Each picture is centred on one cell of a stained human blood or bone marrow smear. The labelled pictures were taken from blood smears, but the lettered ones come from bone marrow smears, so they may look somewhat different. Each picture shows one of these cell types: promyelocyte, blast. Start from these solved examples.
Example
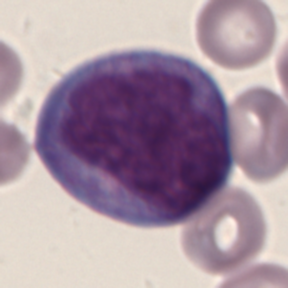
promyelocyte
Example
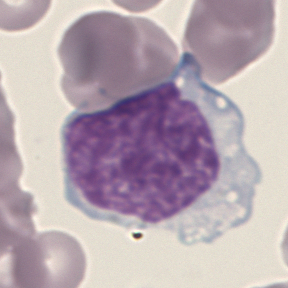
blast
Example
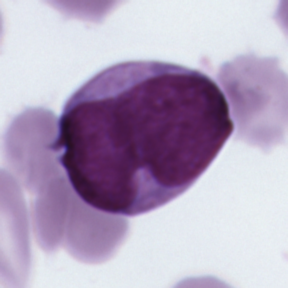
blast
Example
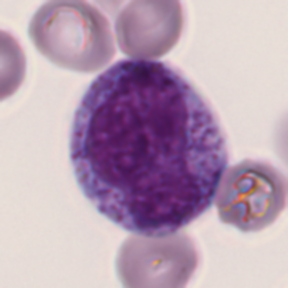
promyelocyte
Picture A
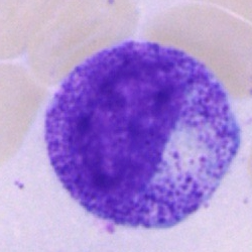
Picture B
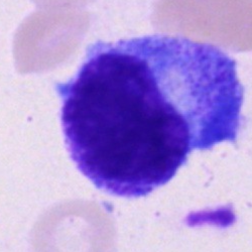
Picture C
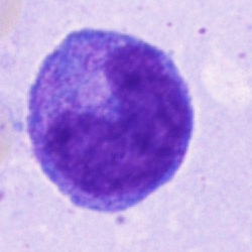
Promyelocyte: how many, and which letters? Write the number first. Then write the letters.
Count: 3 (A, B, C)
